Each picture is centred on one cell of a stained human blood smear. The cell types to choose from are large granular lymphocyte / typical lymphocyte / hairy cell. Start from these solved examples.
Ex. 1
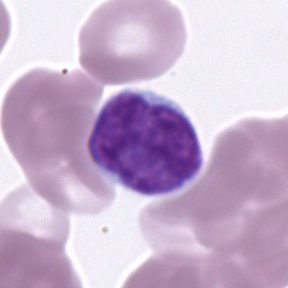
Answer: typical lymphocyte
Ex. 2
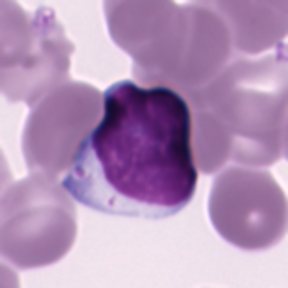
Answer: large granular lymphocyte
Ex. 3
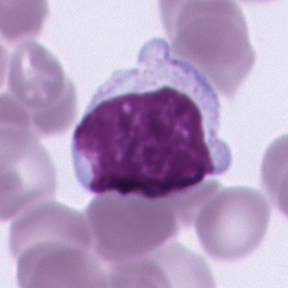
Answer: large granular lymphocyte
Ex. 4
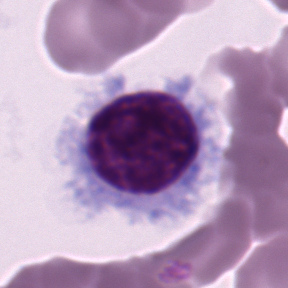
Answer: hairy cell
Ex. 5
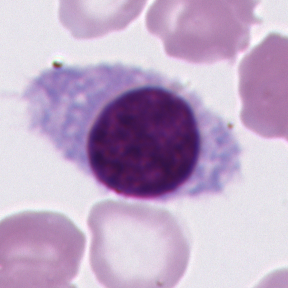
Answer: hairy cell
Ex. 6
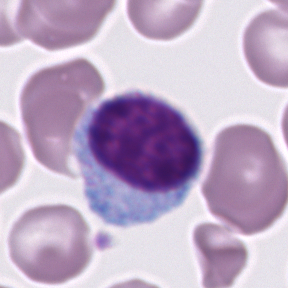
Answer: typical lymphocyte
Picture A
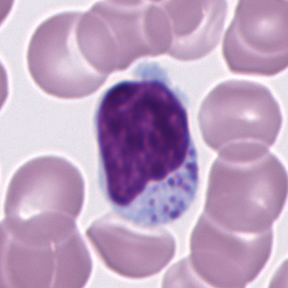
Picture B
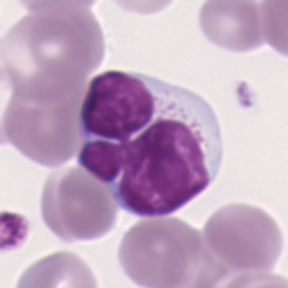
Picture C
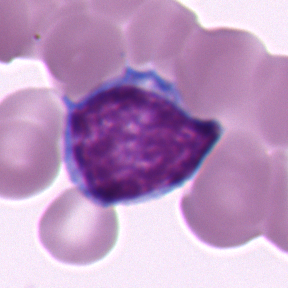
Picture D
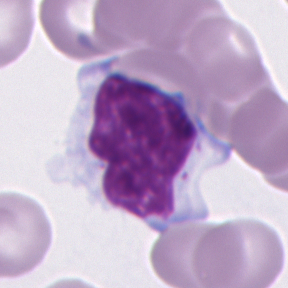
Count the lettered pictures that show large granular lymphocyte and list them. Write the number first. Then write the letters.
3: A, B, D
